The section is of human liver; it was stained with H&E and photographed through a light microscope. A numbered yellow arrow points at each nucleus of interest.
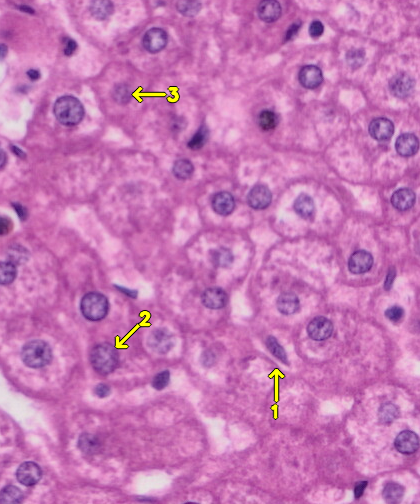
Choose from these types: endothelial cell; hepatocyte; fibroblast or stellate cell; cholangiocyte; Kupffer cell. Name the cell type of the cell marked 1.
Kupffer cell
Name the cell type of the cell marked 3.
hepatocyte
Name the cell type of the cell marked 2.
hepatocyte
